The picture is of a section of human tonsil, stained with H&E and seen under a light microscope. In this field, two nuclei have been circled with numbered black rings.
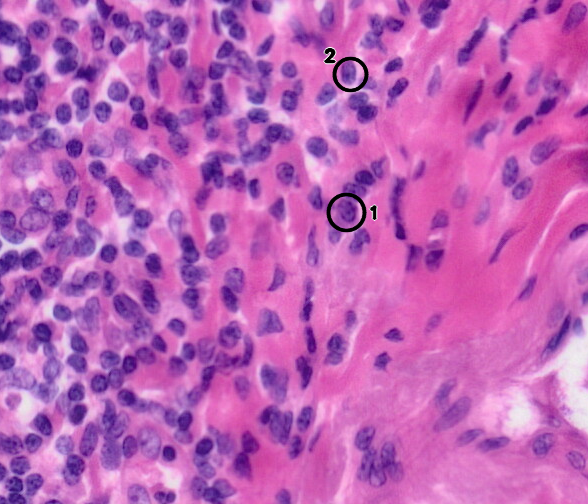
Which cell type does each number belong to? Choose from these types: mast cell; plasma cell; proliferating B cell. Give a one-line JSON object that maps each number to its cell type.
{"1": "plasma cell", "2": "mast cell"}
